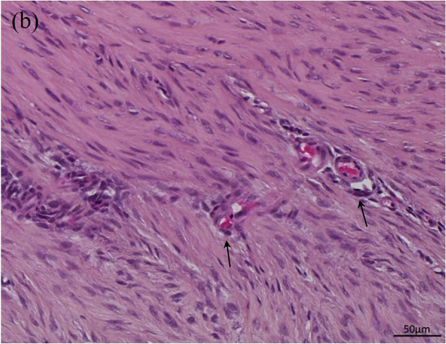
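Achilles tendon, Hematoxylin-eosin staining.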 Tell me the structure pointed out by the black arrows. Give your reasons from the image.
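Vascular structure. The arrows point to small round lumens lined by flattened cells. The lumens contain red-staining red blood cells.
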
